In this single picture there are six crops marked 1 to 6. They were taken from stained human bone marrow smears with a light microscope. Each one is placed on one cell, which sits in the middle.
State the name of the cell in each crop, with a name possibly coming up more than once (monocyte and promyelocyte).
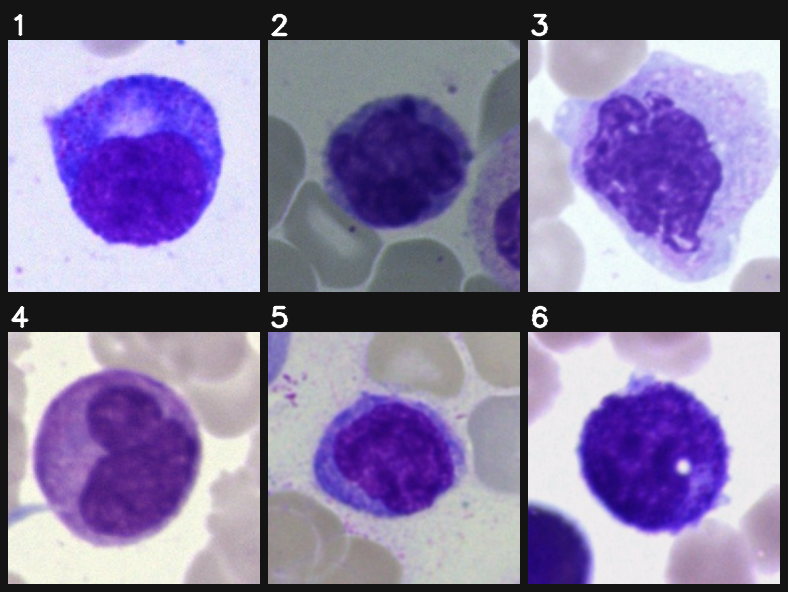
1: promyelocyte
2: monocyte
3: monocyte
4: monocyte
5: monocyte
6: promyelocyte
